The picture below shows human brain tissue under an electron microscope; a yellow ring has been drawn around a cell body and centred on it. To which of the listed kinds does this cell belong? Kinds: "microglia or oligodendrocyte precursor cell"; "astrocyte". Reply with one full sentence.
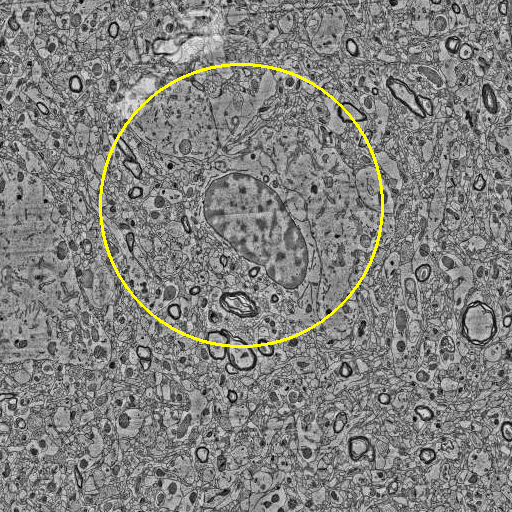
It is a microglial cell or oligodendrocyte precursor cell that the yellow ring in the picture is centred on.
